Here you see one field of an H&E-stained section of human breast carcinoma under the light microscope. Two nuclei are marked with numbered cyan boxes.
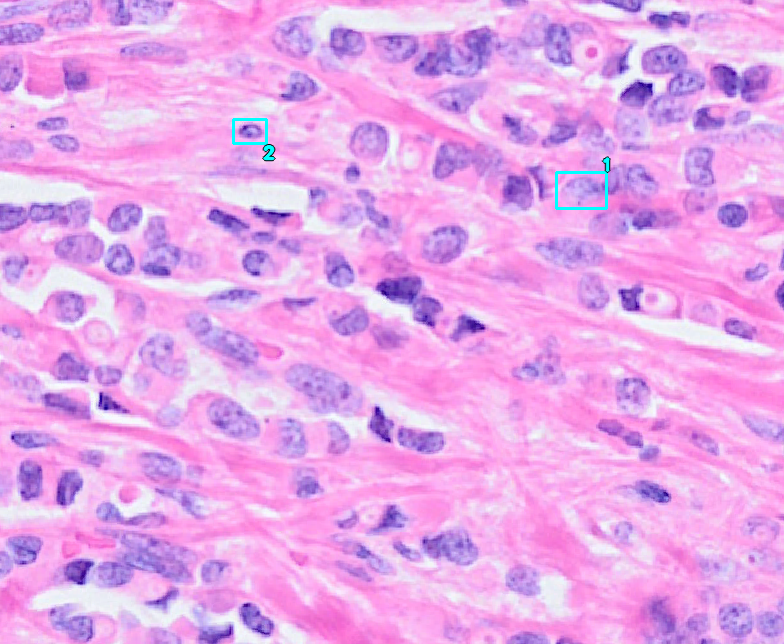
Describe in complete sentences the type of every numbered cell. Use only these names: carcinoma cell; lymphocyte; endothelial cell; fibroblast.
Cell 1 is a carcinoma cell and cell 2 is an endothelial cell.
